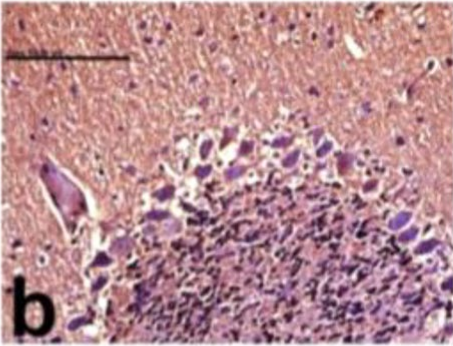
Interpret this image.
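This is cerebellar cortex with a granular layer packed with small, dark, round nuclei, bordered by a row of large flask-shaped Purkinje cell bodies. Beyond them lies a pale, sparsely cellular layer. The Purkinje cells stain purple-blue rather than brown, and several are surrounded by clear spaces.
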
